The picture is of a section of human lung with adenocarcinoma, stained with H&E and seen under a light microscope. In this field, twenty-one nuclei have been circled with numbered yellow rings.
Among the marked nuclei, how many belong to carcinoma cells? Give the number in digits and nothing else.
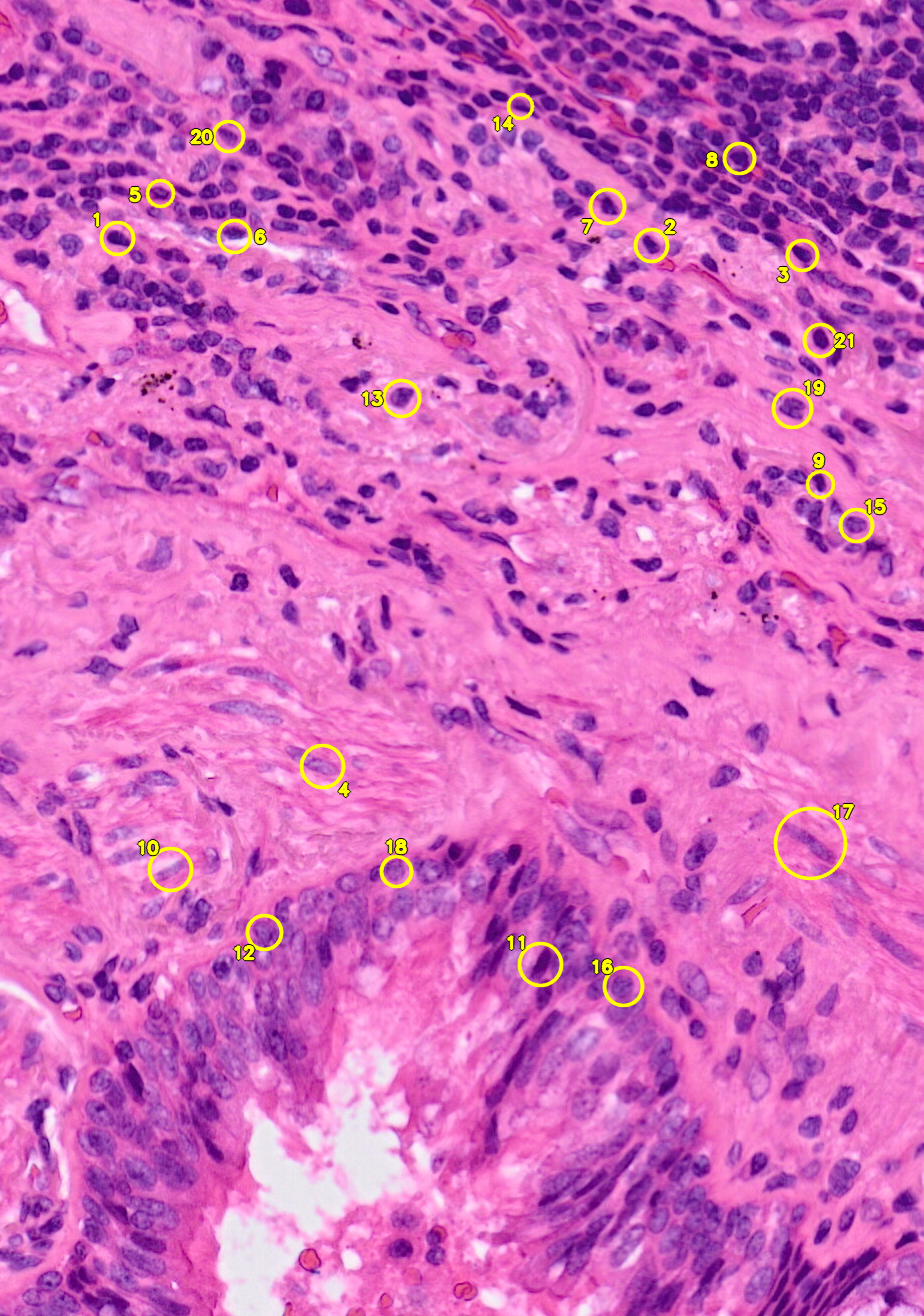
0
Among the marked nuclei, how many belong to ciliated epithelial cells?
4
